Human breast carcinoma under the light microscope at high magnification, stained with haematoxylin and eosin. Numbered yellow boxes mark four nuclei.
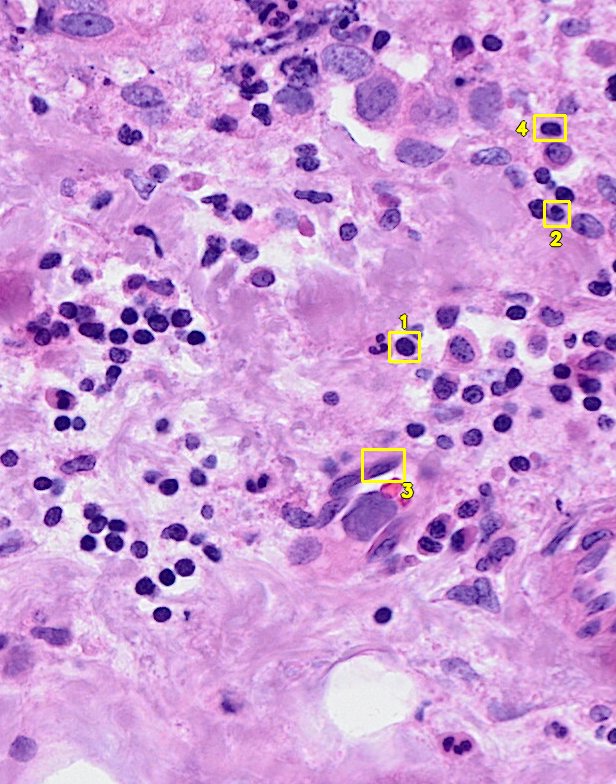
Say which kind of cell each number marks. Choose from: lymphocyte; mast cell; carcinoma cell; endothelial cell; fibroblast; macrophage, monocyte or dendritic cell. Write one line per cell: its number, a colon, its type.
1: lymphocyte
2: lymphocyte
3: endothelial cell
4: lymphocyte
